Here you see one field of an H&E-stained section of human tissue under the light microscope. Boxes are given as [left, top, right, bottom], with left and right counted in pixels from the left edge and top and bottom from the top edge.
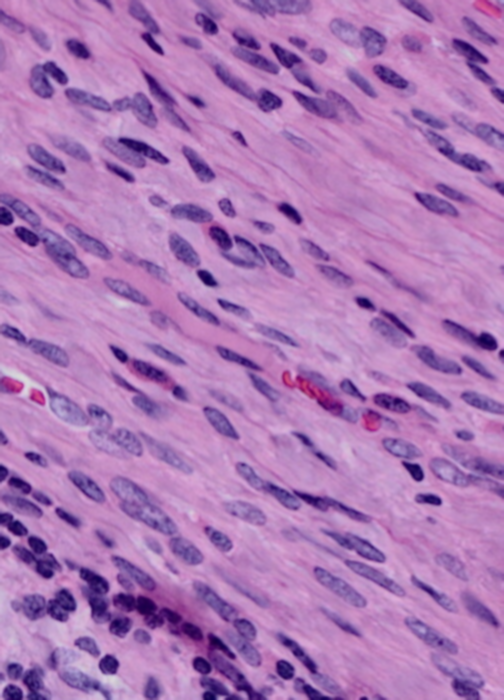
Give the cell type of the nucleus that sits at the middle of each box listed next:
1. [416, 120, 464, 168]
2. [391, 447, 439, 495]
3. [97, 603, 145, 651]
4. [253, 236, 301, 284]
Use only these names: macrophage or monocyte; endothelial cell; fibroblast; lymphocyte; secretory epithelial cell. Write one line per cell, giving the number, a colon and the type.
1: fibroblast
2: lymphocyte
3: lymphocyte
4: fibroblast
